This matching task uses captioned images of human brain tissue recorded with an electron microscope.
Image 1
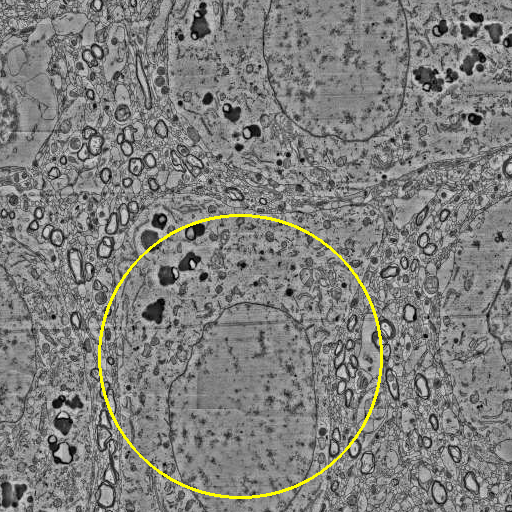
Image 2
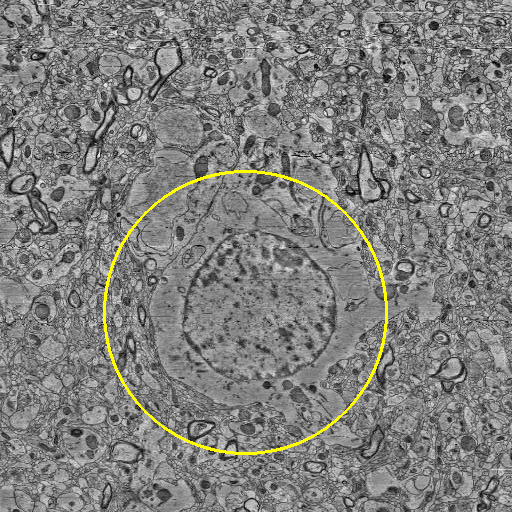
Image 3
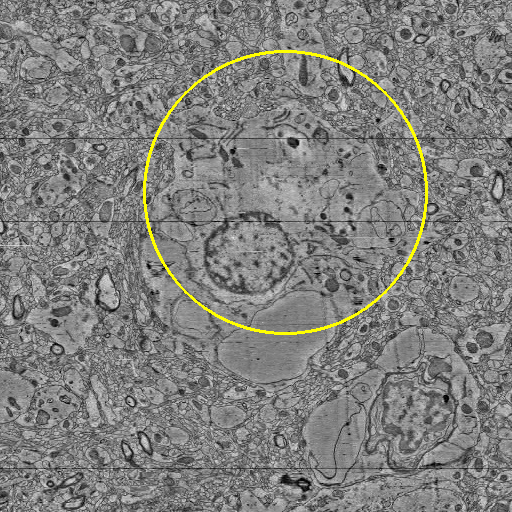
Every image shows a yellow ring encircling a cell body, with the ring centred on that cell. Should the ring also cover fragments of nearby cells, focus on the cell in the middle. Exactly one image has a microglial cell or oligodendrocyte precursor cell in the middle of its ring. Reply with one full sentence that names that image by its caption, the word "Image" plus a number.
Image 3 shows the cell in question at the centre of its yellow ring.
